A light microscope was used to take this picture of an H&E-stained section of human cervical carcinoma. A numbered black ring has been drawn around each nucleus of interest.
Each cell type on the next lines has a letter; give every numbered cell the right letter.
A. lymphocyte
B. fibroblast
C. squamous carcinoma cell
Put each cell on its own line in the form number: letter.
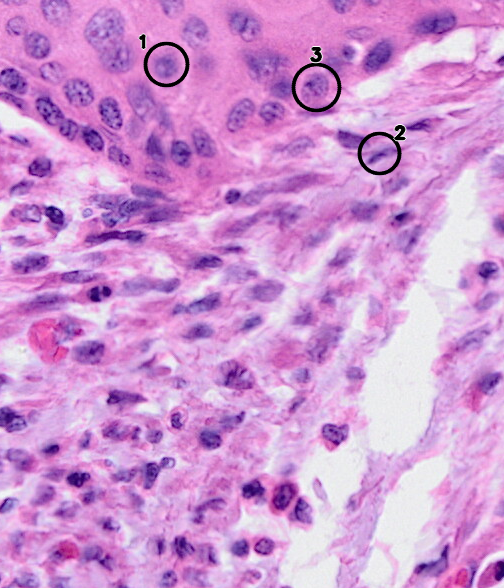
1: C
2: B
3: C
